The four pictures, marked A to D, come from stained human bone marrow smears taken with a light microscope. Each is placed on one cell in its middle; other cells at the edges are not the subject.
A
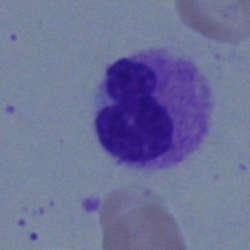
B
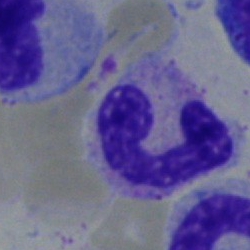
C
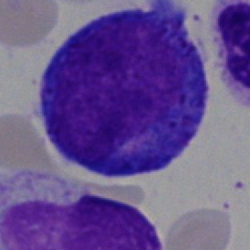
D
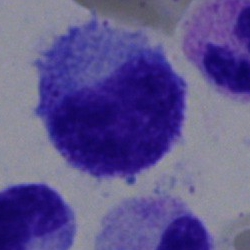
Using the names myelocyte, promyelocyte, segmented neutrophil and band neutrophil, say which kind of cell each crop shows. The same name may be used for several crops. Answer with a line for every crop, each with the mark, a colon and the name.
A: band neutrophil
B: band neutrophil
C: promyelocyte
D: promyelocyte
